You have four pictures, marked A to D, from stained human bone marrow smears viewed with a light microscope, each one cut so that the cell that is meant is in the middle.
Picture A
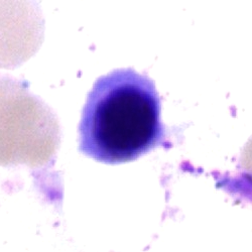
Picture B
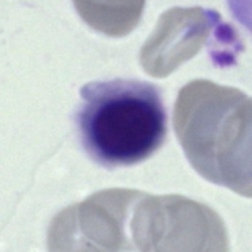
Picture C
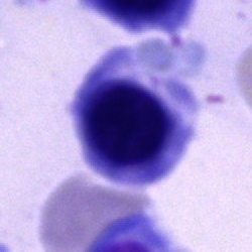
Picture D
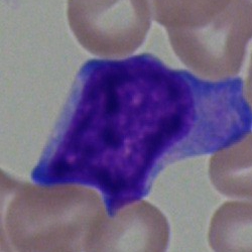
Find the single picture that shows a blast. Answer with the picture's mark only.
D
